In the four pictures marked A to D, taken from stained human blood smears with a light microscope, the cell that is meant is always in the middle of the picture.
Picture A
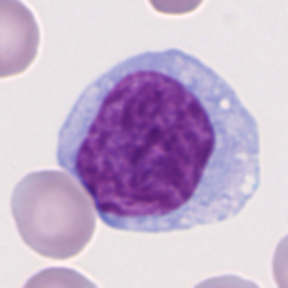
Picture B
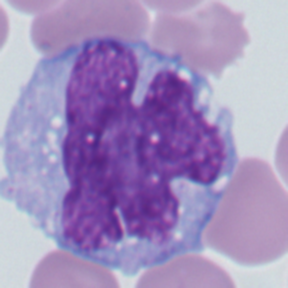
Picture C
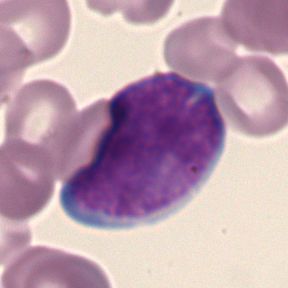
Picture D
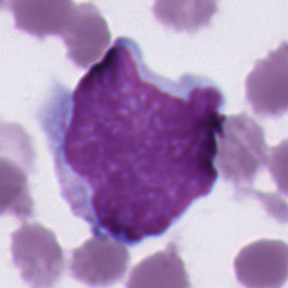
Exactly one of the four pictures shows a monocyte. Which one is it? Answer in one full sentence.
Picture B shows the monocyte.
